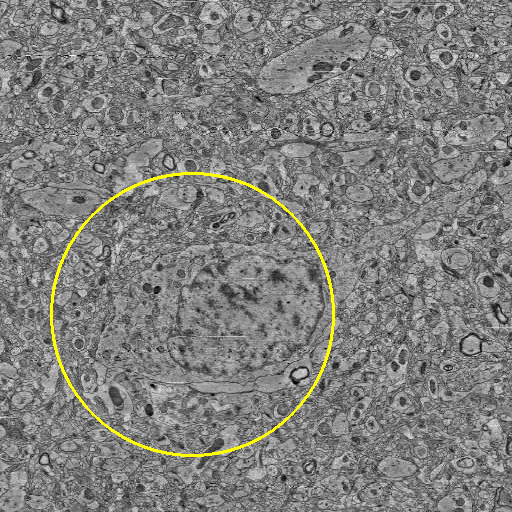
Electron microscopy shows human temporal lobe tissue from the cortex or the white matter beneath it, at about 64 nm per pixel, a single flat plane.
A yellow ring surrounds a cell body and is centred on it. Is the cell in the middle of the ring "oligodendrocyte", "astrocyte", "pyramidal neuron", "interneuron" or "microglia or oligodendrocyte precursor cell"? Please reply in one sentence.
The ring is centred on an interneuron.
